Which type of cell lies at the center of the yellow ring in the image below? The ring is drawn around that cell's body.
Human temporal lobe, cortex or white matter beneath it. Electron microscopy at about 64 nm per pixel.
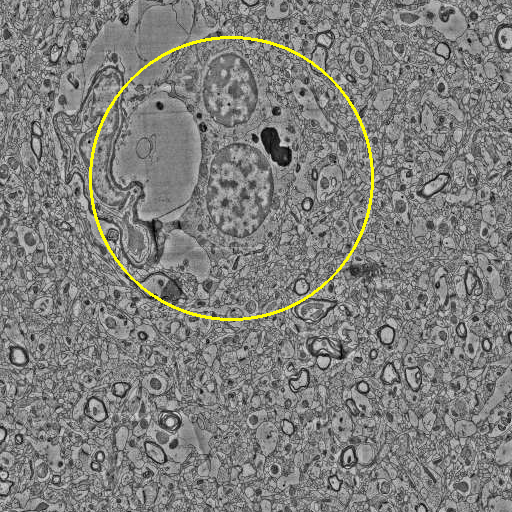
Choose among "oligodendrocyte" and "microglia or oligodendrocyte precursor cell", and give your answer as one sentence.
The cell body at the center belongs to an oligodendrocyte.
